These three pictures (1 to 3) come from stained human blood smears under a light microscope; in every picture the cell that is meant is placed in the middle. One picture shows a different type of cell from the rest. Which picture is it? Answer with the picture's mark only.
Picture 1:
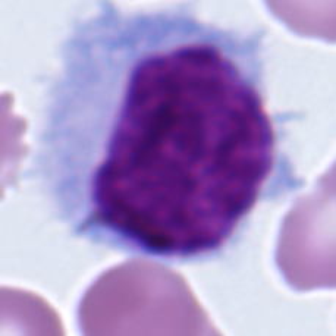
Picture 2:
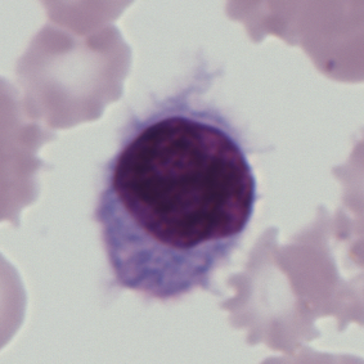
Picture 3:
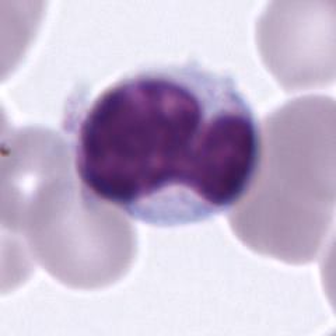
3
